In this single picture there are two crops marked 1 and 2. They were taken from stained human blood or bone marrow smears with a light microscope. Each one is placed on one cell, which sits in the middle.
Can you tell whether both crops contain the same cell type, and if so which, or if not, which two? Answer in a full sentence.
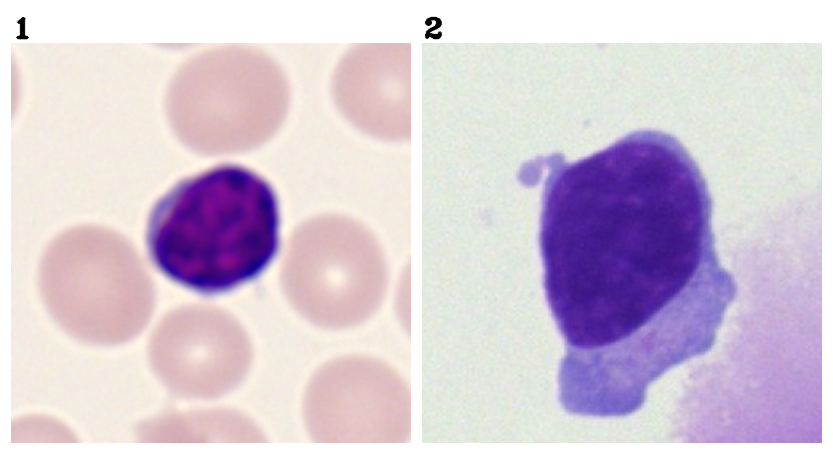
Yes, the cells found in the middle of both crops are lymphocytes.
